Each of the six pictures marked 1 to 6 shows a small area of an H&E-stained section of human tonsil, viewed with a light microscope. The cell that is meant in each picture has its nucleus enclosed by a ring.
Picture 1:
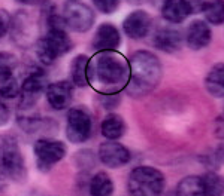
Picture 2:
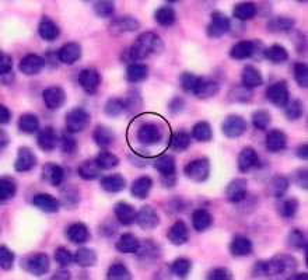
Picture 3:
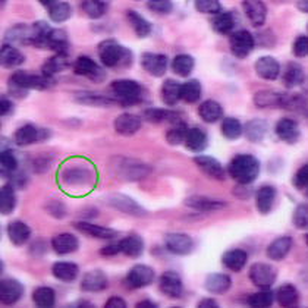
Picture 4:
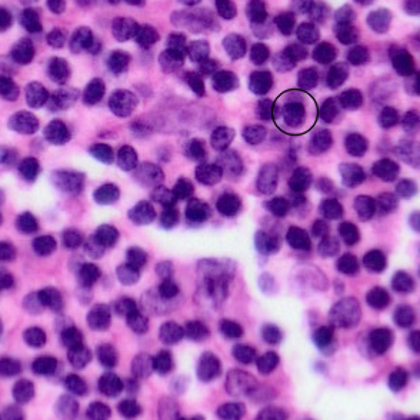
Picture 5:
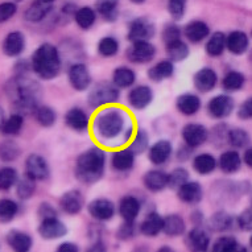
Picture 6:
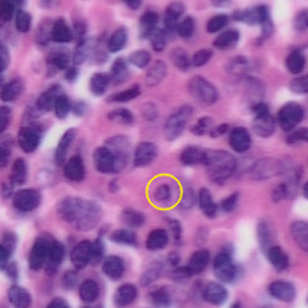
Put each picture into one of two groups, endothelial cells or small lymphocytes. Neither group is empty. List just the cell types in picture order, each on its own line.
small lymphocyte
small lymphocyte
endothelial cell
small lymphocyte
small lymphocyte
endothelial cell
